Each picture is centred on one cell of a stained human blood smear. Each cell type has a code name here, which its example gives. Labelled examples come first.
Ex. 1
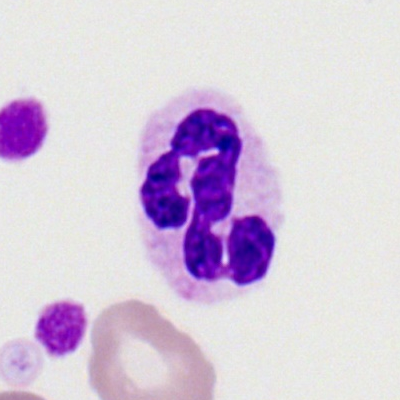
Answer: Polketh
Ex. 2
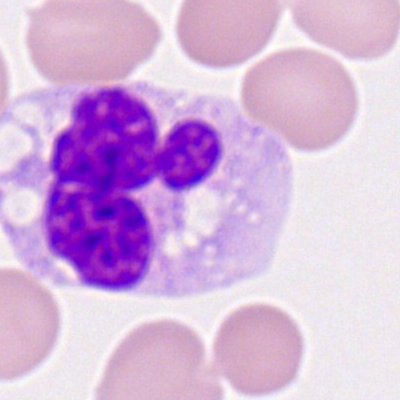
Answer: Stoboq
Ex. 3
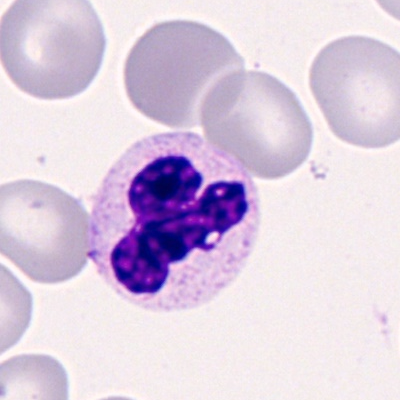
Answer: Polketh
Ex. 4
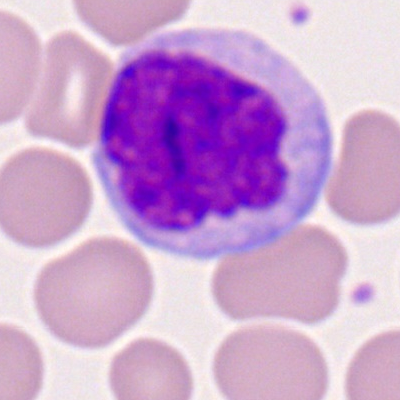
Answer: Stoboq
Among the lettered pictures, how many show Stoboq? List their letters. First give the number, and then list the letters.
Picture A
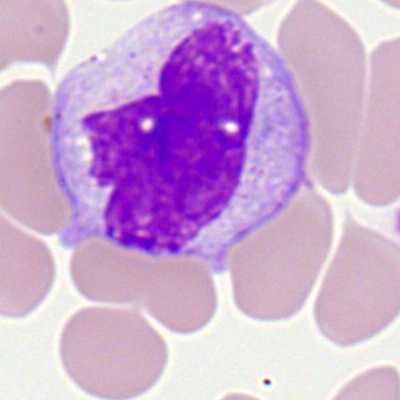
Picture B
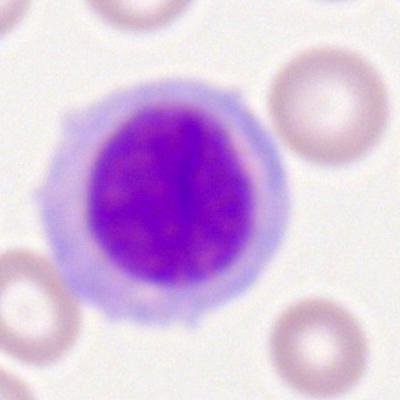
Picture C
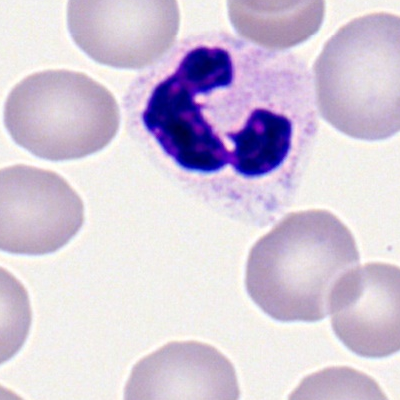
Count: 2 (A, B)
